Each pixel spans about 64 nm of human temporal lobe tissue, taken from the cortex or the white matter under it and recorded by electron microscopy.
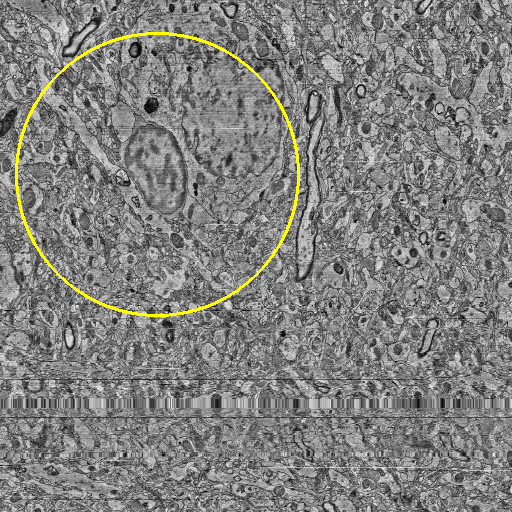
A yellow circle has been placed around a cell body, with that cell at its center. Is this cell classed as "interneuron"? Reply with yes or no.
No, it belongs to another class.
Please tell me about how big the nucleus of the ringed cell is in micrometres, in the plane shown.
The nucleus of the ringed cell is clearly longer than it is wide in this plane, about 6 by 4 micrometres.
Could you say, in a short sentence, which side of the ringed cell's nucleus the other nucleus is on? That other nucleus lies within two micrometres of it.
The second nucleus sits to the upper right of it.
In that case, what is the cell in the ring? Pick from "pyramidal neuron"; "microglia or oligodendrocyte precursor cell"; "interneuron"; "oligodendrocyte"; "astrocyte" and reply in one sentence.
The cell in the ring is an oligodendrocyte instead.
